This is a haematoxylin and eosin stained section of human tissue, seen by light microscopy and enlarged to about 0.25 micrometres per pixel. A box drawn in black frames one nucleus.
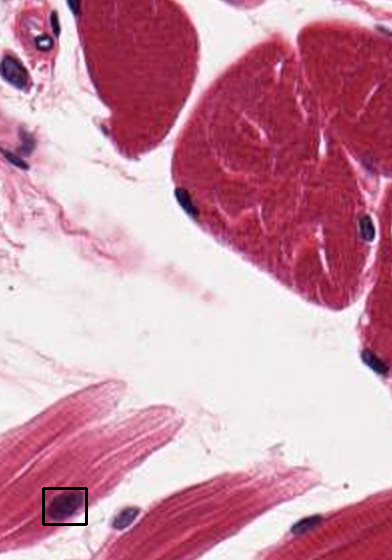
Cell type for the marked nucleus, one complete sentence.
The cell that the marked nucleus belongs to is a skeletal muscle fibre.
